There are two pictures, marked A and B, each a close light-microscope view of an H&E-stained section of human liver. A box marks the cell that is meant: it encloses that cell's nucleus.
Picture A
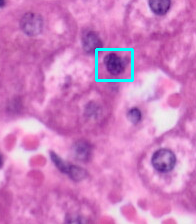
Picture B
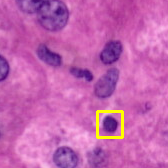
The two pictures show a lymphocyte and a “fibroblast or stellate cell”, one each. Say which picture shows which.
A: fibroblast or stellate cell
B: lymphocyte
